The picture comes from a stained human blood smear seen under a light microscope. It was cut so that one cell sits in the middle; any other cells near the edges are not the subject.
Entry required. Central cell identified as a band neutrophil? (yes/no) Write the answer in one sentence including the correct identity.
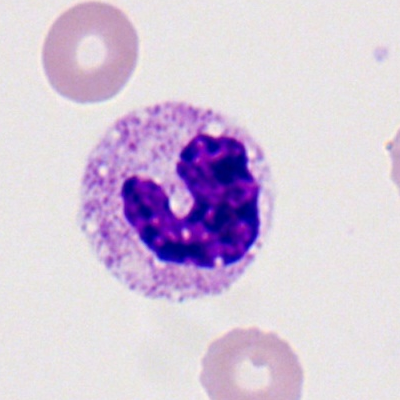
Yes, it is a band neutrophil that occupies the centre of the crop.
